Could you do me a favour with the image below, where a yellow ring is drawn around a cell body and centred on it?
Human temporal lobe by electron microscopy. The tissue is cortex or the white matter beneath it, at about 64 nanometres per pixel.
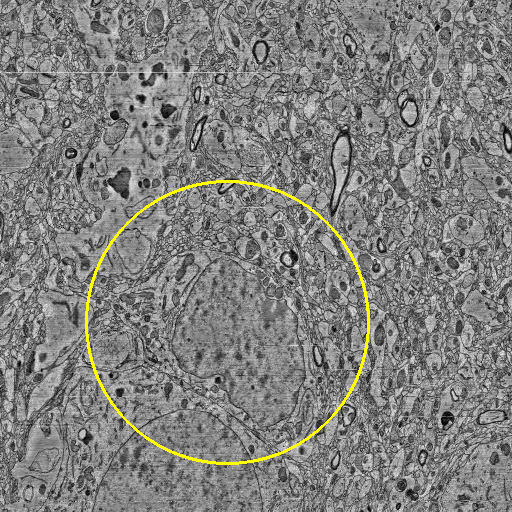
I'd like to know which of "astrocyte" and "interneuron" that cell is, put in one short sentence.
The cell at the ring's centre is an interneuron.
